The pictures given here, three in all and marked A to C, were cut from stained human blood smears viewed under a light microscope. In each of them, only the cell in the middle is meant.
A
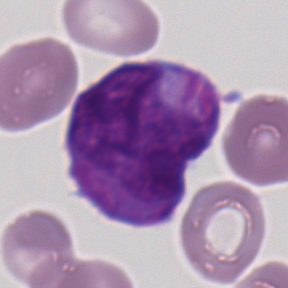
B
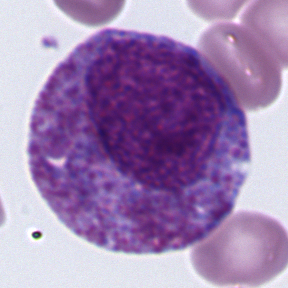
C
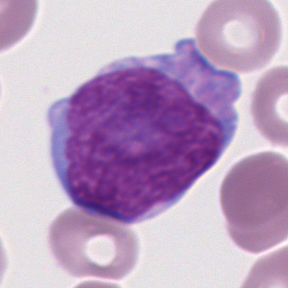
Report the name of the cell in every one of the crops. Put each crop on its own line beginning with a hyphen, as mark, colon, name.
- A: atypical promyelocyte
- B: promyelocyte
- C: promyelocyte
